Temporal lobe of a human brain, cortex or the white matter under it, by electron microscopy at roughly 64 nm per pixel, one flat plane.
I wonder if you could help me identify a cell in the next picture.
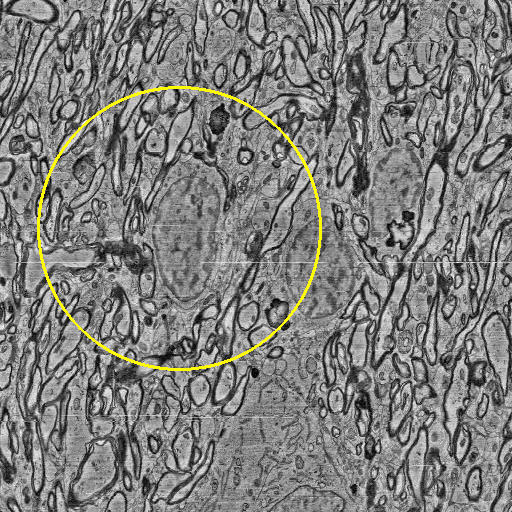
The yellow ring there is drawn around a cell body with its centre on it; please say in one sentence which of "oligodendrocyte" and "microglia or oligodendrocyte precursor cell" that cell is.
The yellow ring is centred on an oligodendrocyte.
